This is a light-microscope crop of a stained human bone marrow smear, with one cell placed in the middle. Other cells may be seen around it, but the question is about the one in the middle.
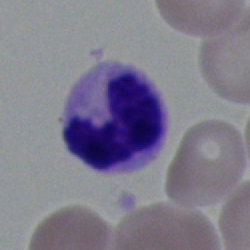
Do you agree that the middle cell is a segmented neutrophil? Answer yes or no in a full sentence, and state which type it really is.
Yes, what sits in the middle of the crop is a segmented neutrophil.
